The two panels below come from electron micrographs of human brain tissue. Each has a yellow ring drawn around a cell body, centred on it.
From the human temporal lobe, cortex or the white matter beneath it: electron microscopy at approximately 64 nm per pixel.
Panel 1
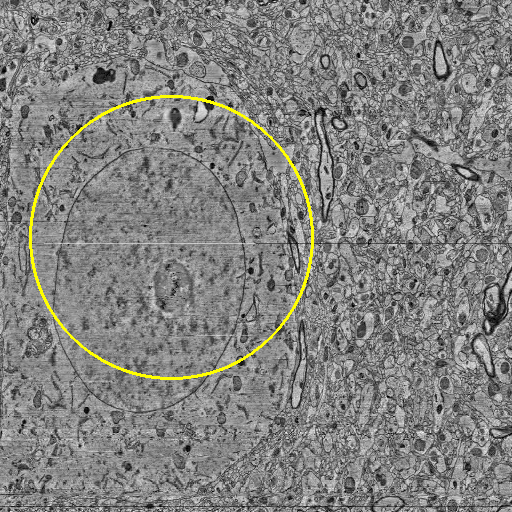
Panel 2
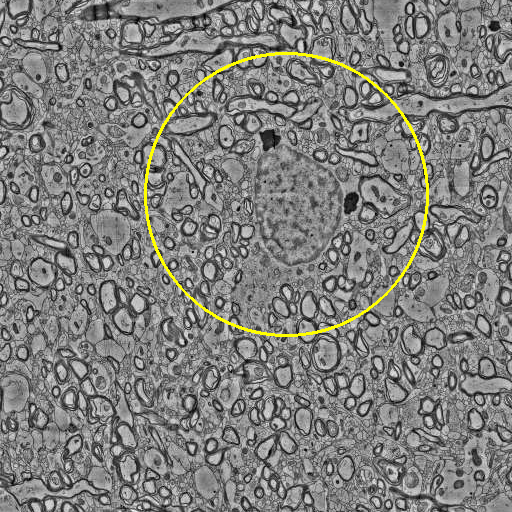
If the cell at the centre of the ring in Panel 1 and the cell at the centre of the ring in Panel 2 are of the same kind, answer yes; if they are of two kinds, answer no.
no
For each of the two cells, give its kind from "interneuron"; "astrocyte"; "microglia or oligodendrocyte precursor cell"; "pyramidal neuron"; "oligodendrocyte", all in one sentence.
The first picture has a pyramidal neuron in its ring, the second has an oligodendrocyte.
